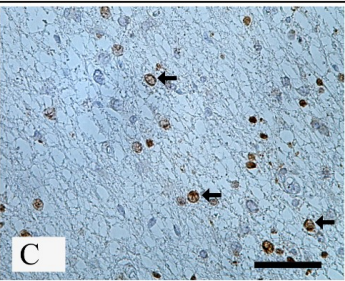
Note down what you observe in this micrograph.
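The tissue is pale blue and loose, with a fine network of thin strands and clear spaces. The stained cells are small and round, with a brown rim around a round nucleus, and lie singly, spread apart. Several blue nuclei without brown staining are also present, and brown fibre-like profiles are almost absent.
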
